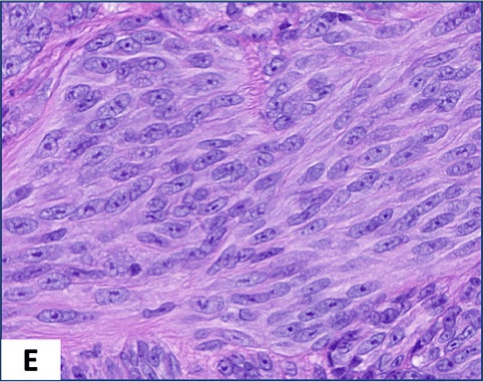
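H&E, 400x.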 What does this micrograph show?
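This is a high-power view of a tumor made of closely packed spindle cells arranged in a parallel stream. The nuclei are oval to elongated, of fairly uniform size, with pale, fine chromatin and many with a distinct small nucleolus. Boundaries between neighbouring cells cannot be made out, so the nuclei seem to lie in a continuous pink cytoplasmic background. Thin pink collagen strands run along the edges of the cell bundle.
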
